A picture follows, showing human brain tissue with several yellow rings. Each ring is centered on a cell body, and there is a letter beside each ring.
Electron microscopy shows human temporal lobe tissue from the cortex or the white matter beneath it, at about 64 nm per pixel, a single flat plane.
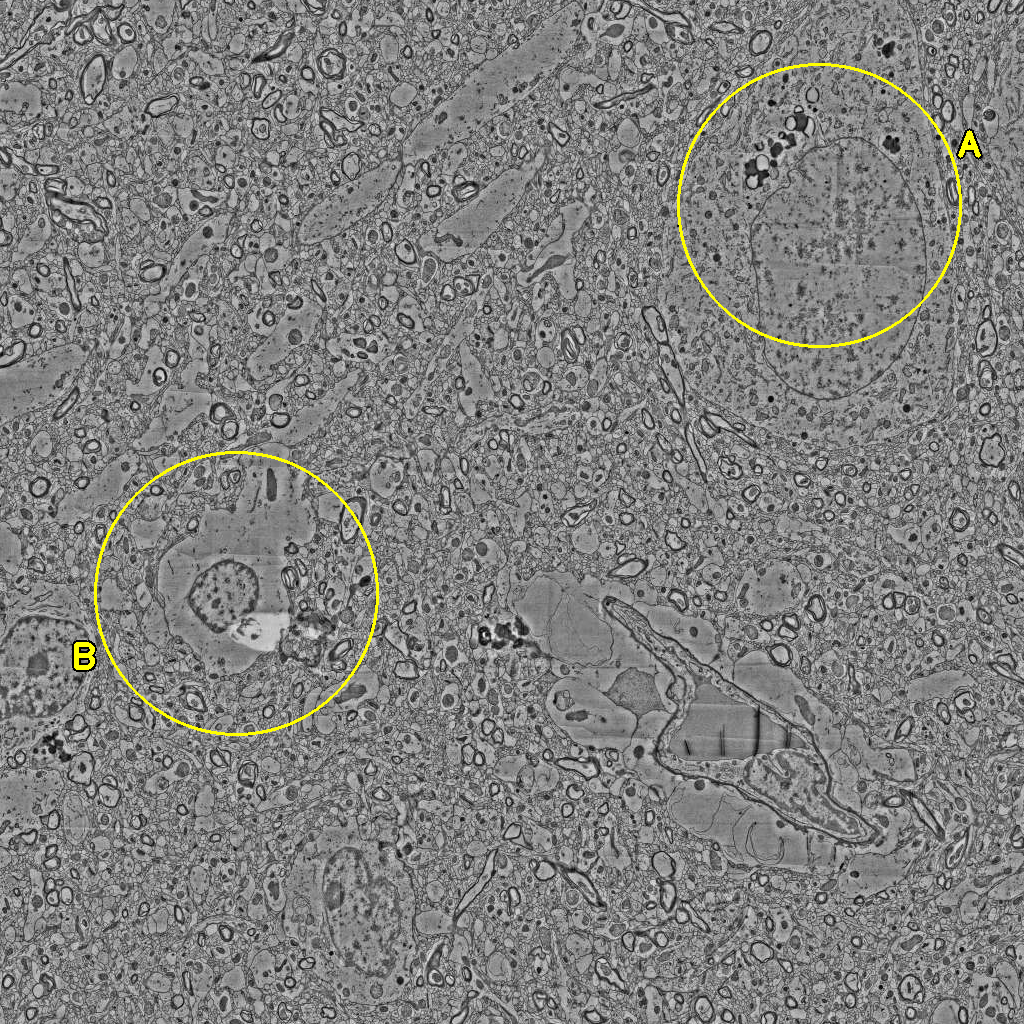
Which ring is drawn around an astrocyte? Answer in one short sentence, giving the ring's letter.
Ring B is drawn around it.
